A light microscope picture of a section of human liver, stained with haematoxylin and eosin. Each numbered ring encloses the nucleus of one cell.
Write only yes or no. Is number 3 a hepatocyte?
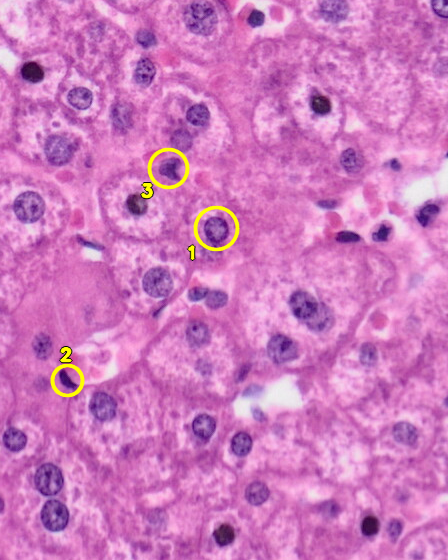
no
